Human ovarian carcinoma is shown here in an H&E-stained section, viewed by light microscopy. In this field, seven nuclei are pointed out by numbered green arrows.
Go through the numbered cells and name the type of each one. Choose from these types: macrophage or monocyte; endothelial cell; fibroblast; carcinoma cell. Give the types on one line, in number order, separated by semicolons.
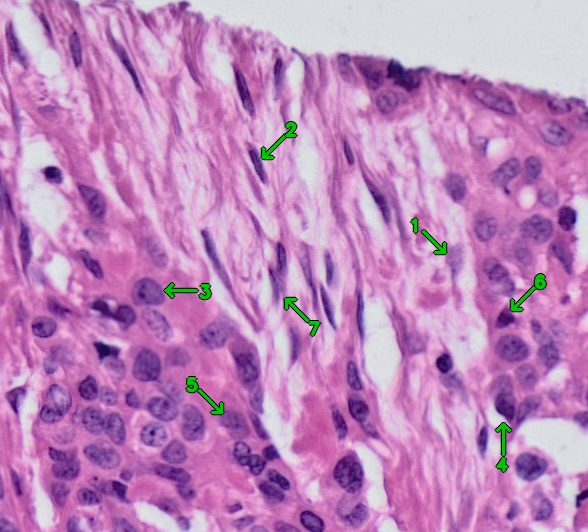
fibroblast; fibroblast; carcinoma cell; carcinoma cell; carcinoma cell; carcinoma cell; fibroblast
